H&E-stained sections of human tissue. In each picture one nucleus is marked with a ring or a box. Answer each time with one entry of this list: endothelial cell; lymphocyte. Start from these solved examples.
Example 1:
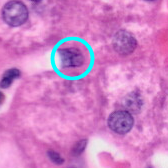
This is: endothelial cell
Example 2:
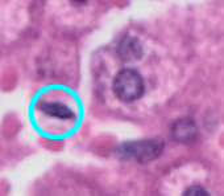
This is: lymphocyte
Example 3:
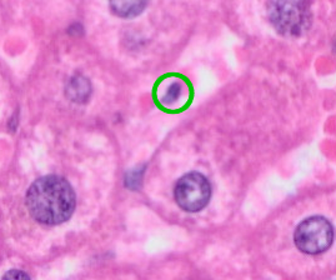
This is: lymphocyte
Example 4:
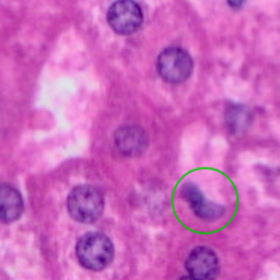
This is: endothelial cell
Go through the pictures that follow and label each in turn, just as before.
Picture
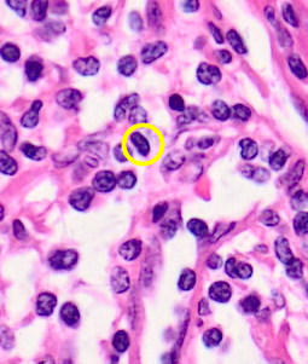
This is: lymphocyte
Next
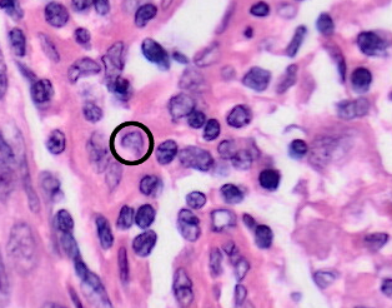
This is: endothelial cell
